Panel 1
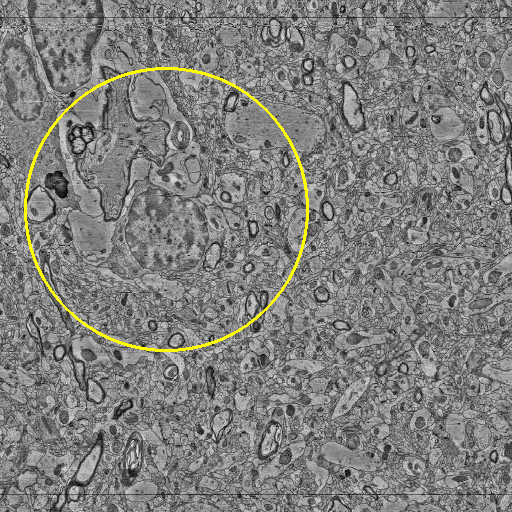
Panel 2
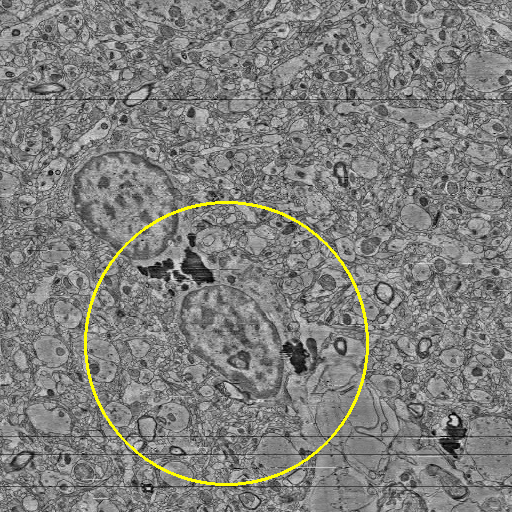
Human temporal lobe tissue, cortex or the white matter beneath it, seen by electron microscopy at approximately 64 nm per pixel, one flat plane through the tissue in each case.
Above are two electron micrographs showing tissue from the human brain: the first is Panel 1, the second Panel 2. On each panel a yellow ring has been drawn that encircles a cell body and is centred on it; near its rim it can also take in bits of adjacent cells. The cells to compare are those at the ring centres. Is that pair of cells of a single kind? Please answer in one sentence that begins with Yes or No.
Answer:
Yes, the ring-centred cells of Panel 1 and Panel 2 belong to one kind.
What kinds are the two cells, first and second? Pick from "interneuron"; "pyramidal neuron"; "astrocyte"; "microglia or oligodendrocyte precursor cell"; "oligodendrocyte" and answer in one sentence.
Both the first and the second picture show an oligodendrocyte in the ring.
